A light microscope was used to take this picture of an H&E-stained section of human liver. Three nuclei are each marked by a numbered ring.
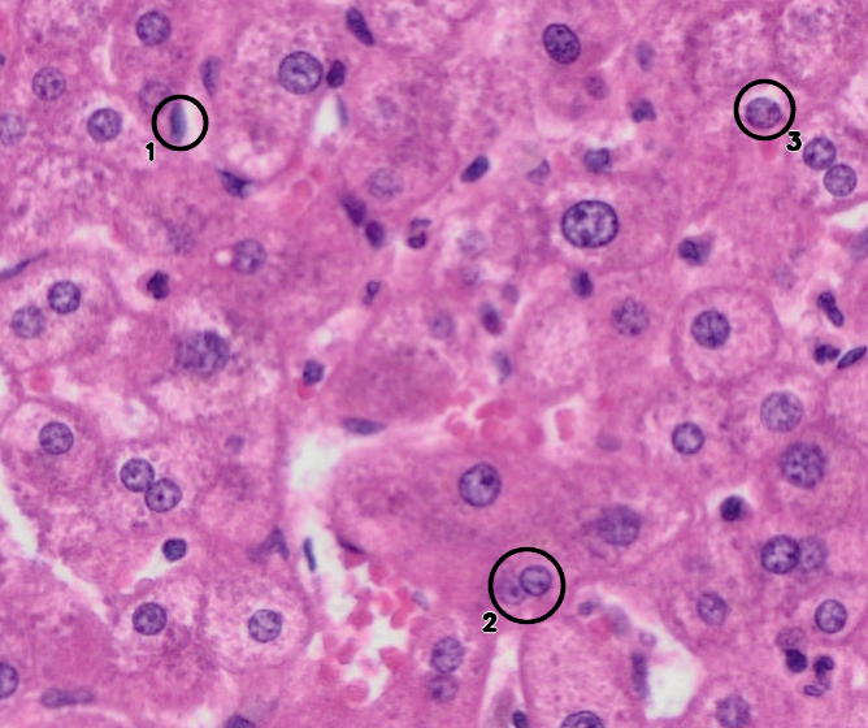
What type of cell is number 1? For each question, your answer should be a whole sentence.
The cell that goes by number 1 is an endothelial cell.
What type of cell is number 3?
The cell that bears the number 3 is a hepatocyte.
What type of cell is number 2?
Cell 2 should be recorded as a hepatocyte.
